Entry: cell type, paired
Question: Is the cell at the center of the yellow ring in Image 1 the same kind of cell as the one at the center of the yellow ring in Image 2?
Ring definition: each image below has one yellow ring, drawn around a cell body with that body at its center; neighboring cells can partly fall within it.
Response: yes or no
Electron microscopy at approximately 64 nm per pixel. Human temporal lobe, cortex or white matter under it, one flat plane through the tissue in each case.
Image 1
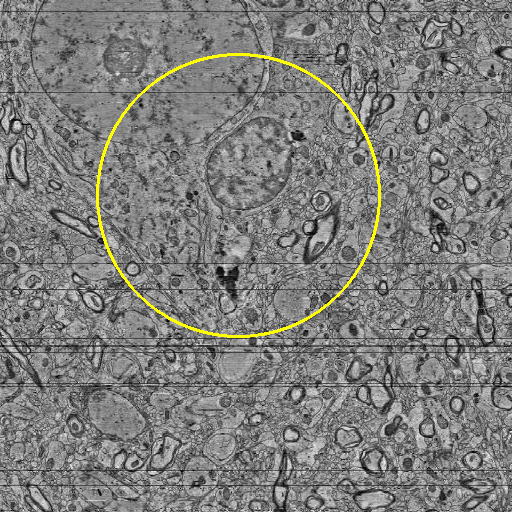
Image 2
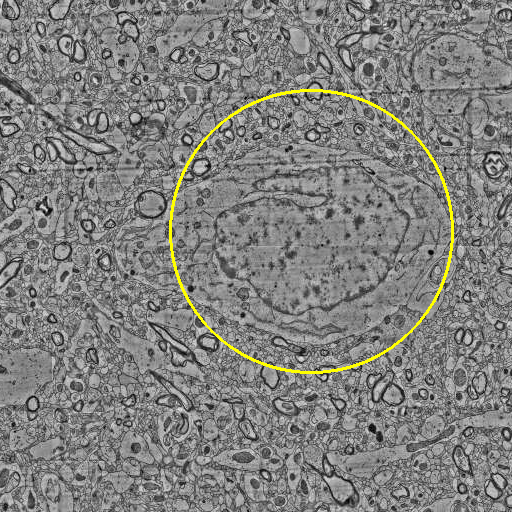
no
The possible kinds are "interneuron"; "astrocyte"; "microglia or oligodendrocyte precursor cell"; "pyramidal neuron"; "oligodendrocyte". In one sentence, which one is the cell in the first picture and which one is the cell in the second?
The cell ringed in the second picture is an interneuron, whereas the one ringed in the first is an oligodendrocyte.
